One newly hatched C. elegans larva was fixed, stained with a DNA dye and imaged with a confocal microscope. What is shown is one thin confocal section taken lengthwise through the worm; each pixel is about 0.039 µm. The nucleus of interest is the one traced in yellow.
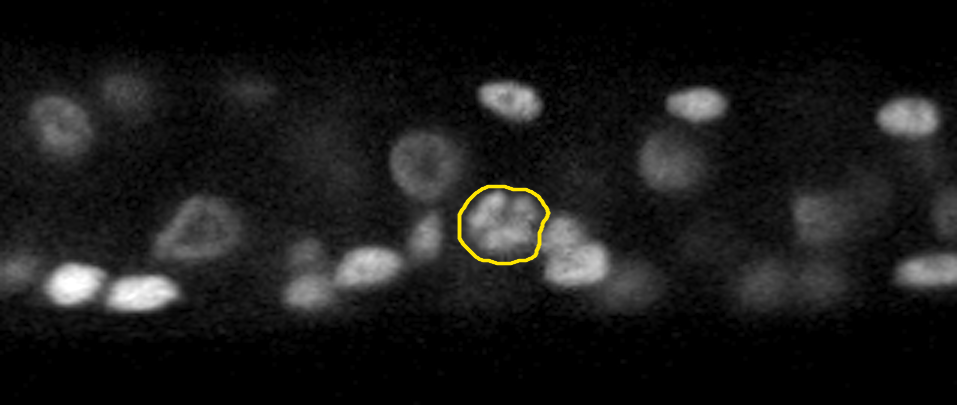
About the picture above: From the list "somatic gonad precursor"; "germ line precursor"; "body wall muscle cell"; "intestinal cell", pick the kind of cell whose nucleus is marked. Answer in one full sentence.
The nucleus comes from a germ line precursor.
